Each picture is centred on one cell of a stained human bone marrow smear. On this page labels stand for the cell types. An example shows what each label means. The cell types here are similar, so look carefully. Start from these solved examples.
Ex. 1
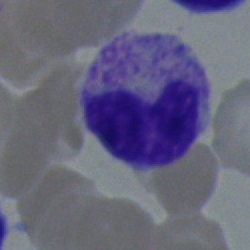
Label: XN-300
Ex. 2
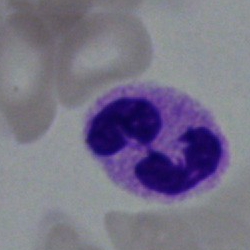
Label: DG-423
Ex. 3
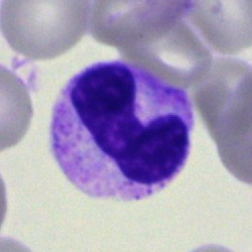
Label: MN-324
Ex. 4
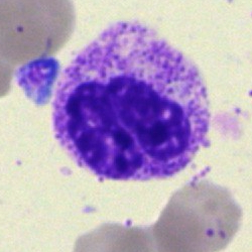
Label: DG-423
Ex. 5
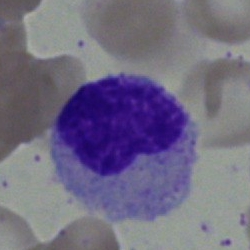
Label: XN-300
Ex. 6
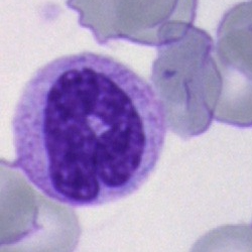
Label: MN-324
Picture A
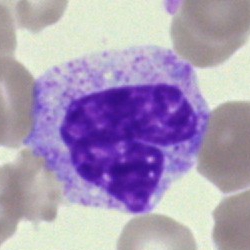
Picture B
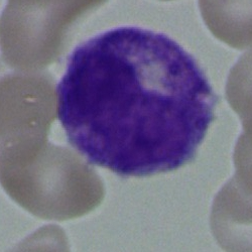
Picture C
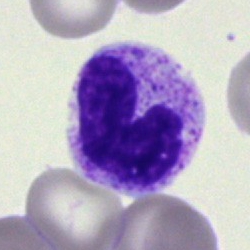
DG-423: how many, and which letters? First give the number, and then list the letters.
0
